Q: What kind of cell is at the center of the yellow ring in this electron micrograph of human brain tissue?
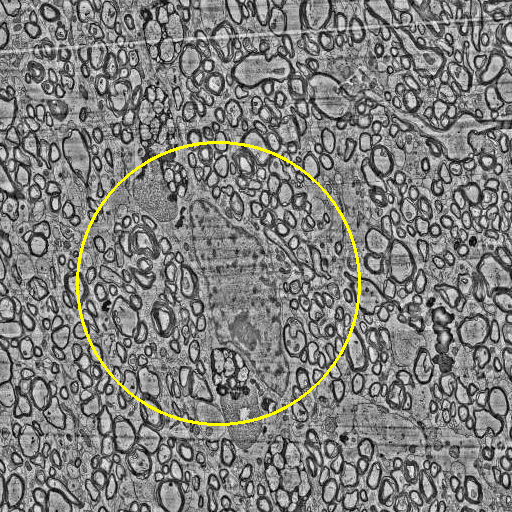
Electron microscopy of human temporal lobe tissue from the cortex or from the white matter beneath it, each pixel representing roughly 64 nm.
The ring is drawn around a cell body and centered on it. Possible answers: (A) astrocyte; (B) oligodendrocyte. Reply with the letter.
A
